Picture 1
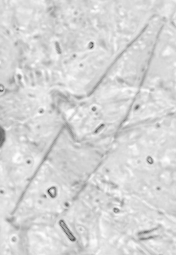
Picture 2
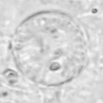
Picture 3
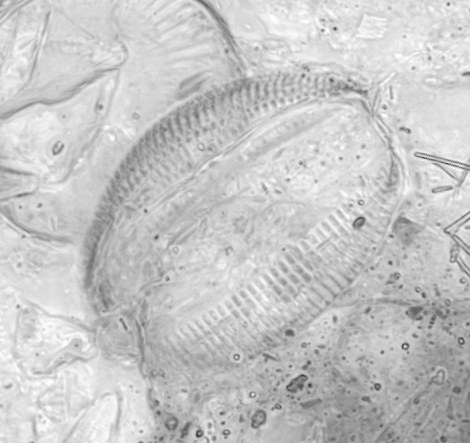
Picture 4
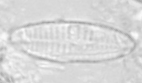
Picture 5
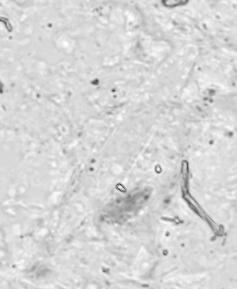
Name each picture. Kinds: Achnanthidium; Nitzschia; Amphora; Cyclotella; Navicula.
1. Nitzschia
2. Cyclotella
3. Amphora
4. Achnanthidium
5. Nitzschia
